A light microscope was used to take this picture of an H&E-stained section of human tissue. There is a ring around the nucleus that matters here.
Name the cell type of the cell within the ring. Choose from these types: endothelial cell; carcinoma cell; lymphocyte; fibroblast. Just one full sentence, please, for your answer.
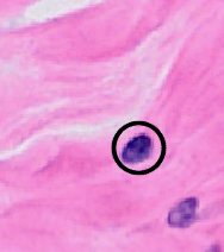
As a matter of cell type, the cell within the ring is a lymphocyte.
